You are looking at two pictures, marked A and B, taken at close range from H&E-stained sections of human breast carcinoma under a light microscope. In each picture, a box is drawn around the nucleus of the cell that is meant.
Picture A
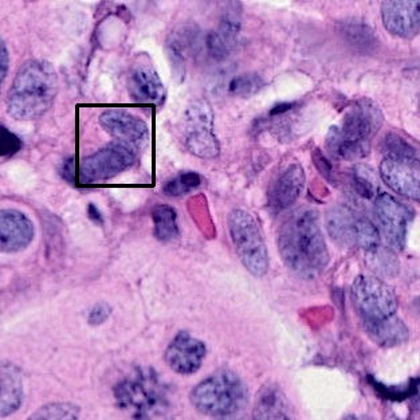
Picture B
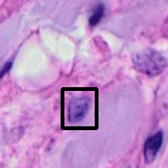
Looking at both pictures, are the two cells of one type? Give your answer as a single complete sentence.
No, picture A shows a carcinoma cell and picture B shows a “macrophage, monocyte or dendritic cell”.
